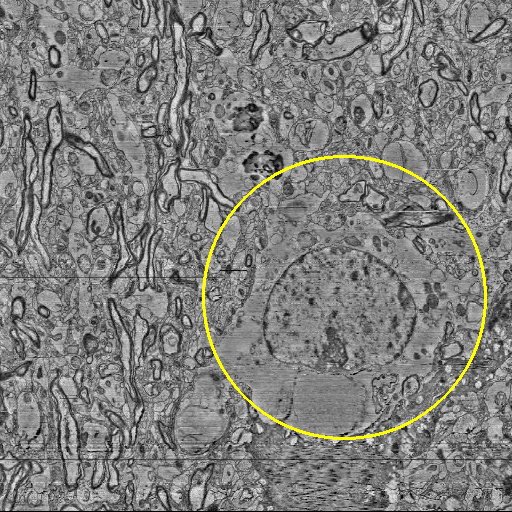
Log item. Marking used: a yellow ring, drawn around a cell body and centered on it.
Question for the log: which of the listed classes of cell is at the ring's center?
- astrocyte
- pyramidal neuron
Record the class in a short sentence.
At the center of the ring lies an astrocyte.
